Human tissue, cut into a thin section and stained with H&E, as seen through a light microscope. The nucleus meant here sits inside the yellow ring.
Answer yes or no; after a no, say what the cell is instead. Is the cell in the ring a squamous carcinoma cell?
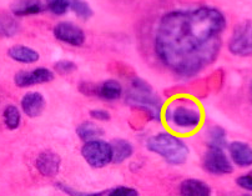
No, it is a lymphocyte.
